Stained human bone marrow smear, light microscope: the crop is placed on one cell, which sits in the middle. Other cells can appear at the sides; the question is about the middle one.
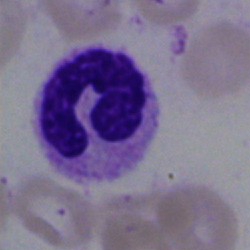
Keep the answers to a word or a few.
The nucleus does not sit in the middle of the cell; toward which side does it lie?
top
